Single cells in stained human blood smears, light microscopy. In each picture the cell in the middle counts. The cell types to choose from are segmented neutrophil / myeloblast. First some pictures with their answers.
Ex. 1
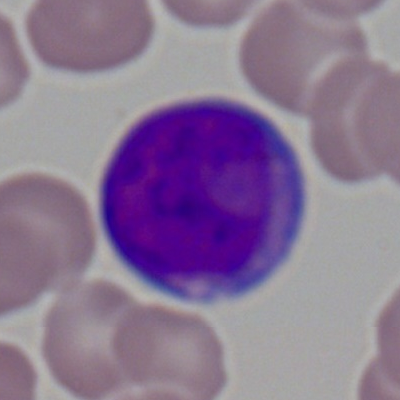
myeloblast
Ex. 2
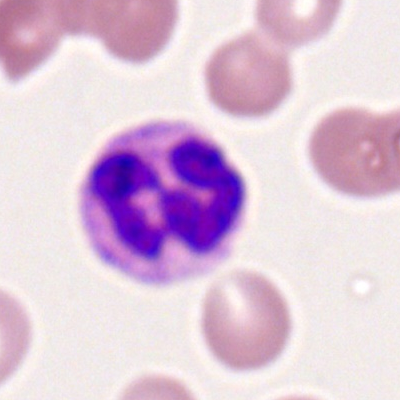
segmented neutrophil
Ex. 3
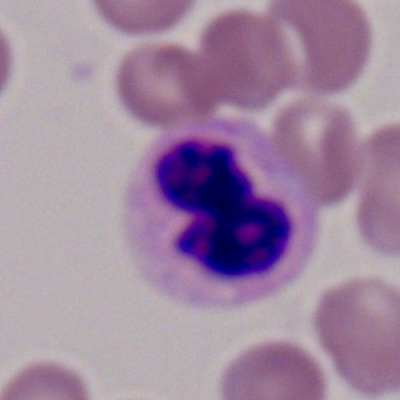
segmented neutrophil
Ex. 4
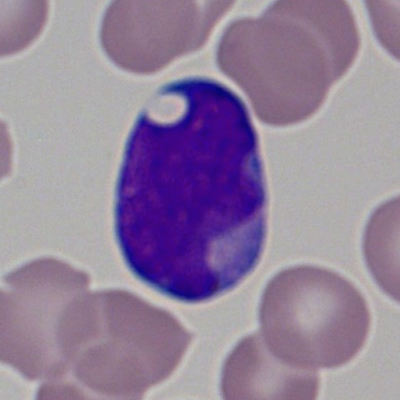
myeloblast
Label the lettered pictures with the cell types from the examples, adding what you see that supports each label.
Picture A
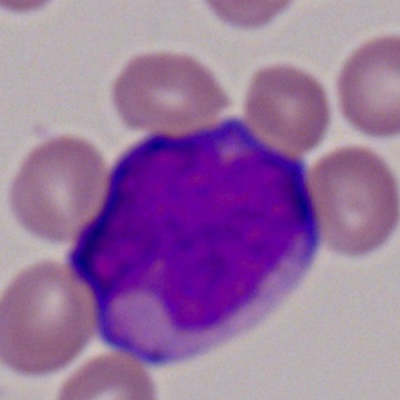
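myeloblast. Evidence: The rim of cytoplasm at the cell edge stains deep blue.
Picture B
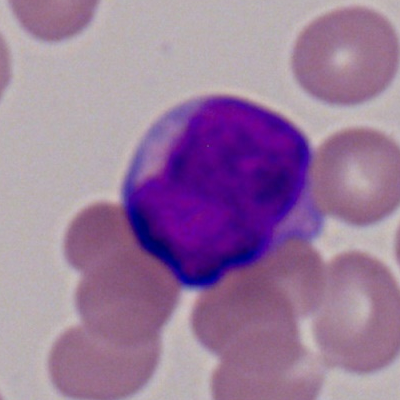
myeloblast. Evidence: The nucleus fills most of the cell.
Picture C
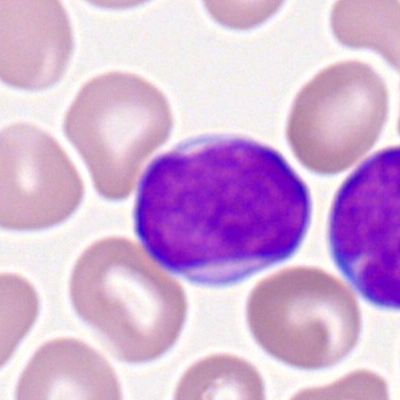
myeloblast. Evidence: The nucleus fills almost the whole cell.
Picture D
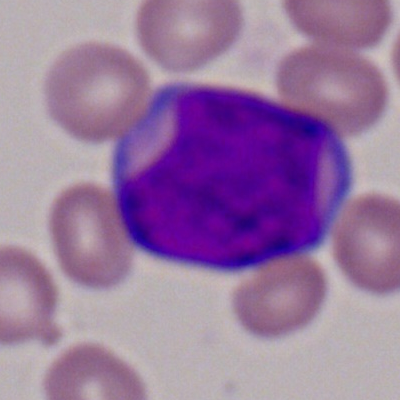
myeloblast. Evidence: The nucleus fills most of the cell.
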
